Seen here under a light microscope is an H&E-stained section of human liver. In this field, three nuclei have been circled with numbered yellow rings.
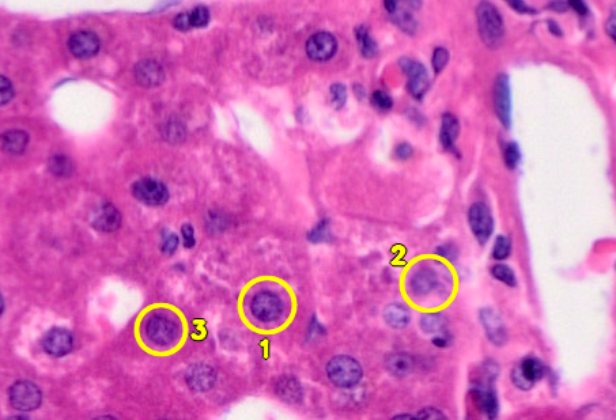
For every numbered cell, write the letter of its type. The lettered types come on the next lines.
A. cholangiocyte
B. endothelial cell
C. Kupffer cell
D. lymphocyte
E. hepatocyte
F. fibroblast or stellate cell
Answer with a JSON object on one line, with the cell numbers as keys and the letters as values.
{"1": "E", "2": "A", "3": "E"}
